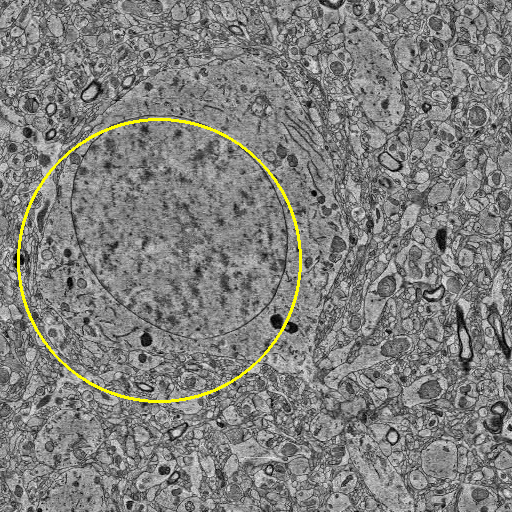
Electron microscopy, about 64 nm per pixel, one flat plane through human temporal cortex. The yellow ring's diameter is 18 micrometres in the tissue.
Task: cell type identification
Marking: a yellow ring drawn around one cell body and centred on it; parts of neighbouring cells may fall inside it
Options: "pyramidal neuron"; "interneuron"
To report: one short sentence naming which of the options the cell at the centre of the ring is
The cell at the centre of the ring is a pyramidal neuron.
